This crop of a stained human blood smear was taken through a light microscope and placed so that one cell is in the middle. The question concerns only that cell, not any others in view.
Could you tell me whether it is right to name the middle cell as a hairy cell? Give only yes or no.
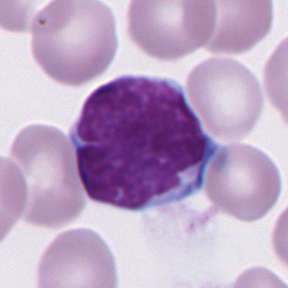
no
